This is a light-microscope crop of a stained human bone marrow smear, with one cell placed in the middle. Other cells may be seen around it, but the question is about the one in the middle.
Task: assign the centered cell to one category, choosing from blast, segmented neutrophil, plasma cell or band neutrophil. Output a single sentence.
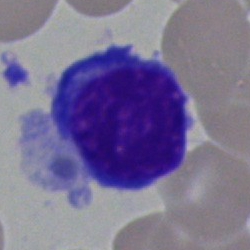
Centrally within this crop lies a plasma cell.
